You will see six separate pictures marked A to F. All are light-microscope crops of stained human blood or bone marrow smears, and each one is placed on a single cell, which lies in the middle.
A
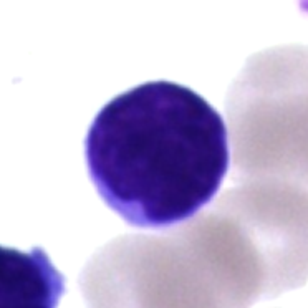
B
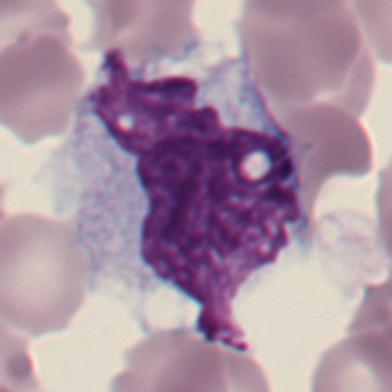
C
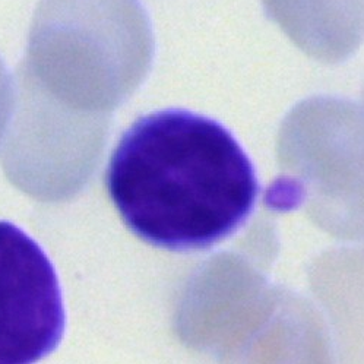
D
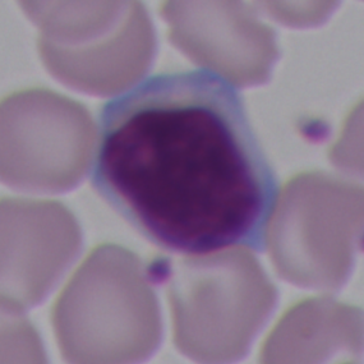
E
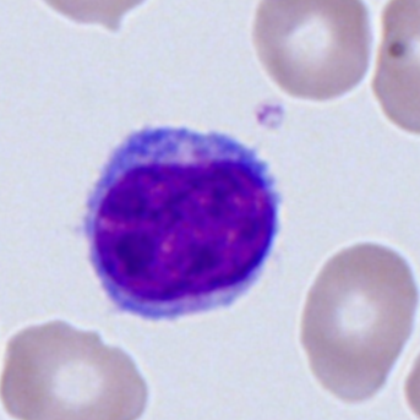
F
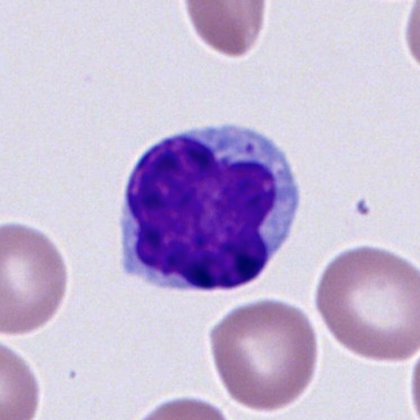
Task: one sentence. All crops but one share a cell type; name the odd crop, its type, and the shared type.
Crop B, showing a monocyte, is the exception; the others all show lymphocytes.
